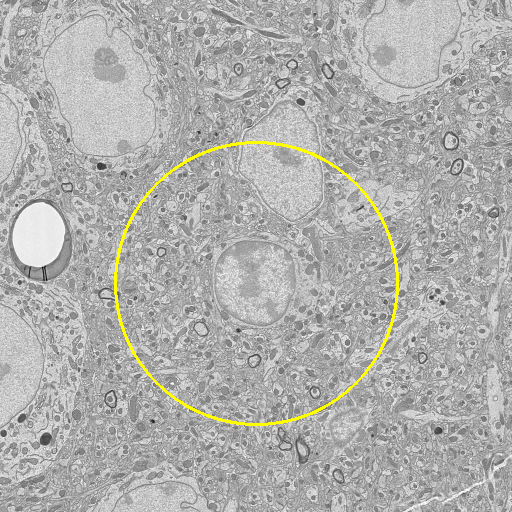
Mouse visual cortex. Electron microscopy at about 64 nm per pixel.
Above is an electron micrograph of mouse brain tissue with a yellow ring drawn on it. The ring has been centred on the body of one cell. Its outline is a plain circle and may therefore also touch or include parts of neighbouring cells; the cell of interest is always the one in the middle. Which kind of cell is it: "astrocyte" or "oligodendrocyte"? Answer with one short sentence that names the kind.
The ring's central cell body is that of an oligodendrocyte.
